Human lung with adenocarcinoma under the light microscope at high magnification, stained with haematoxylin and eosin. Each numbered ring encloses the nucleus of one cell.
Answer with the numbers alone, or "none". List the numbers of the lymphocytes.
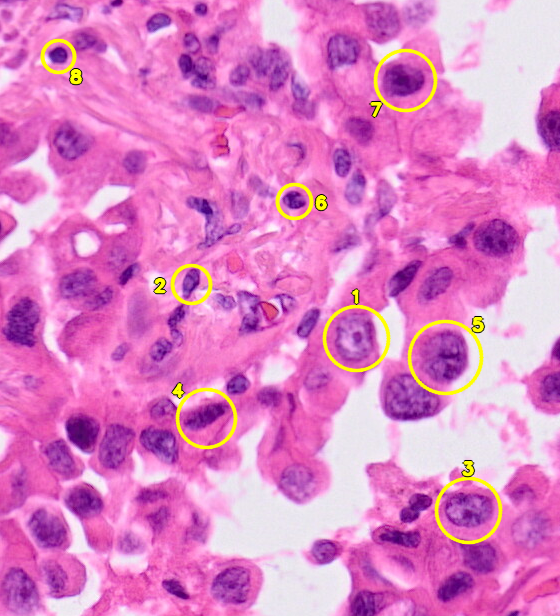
2, 6, 8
